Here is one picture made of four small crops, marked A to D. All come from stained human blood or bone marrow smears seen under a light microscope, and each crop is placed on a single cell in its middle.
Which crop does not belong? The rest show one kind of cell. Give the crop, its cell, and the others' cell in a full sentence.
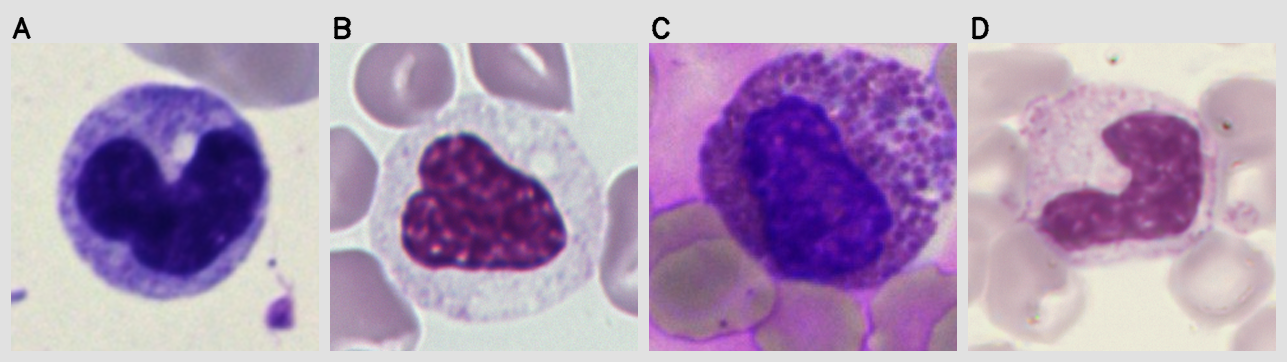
Crop C alone is an eosinophil, and the other crops are all band neutrophils.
